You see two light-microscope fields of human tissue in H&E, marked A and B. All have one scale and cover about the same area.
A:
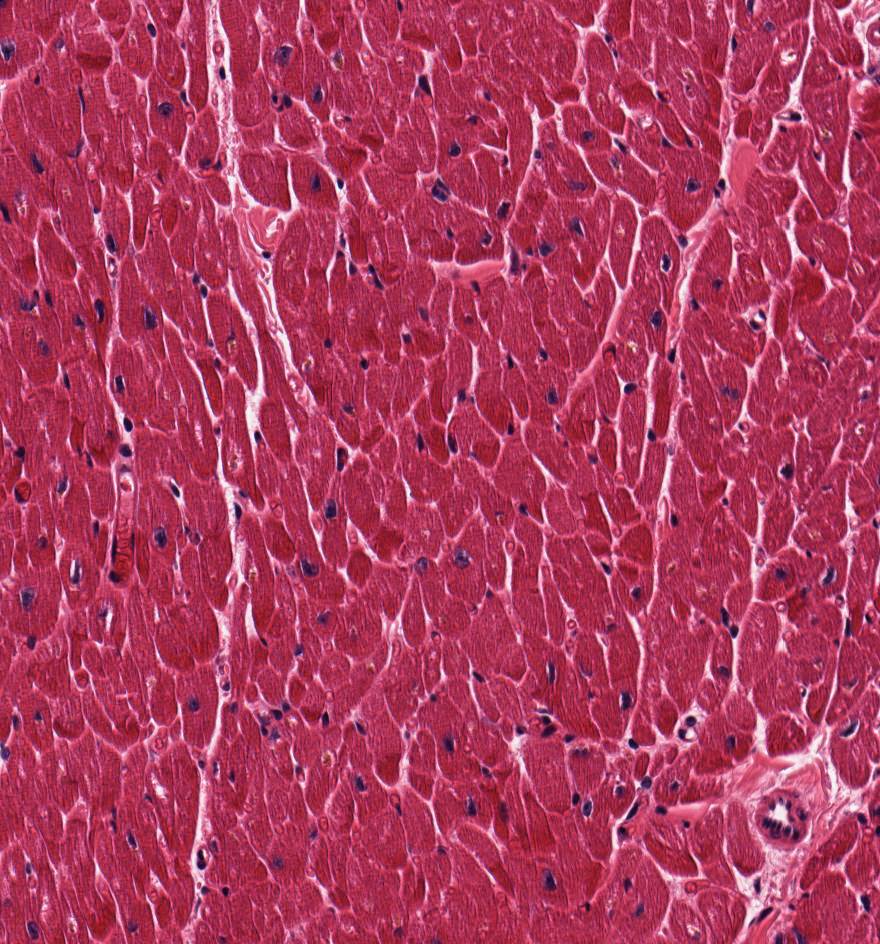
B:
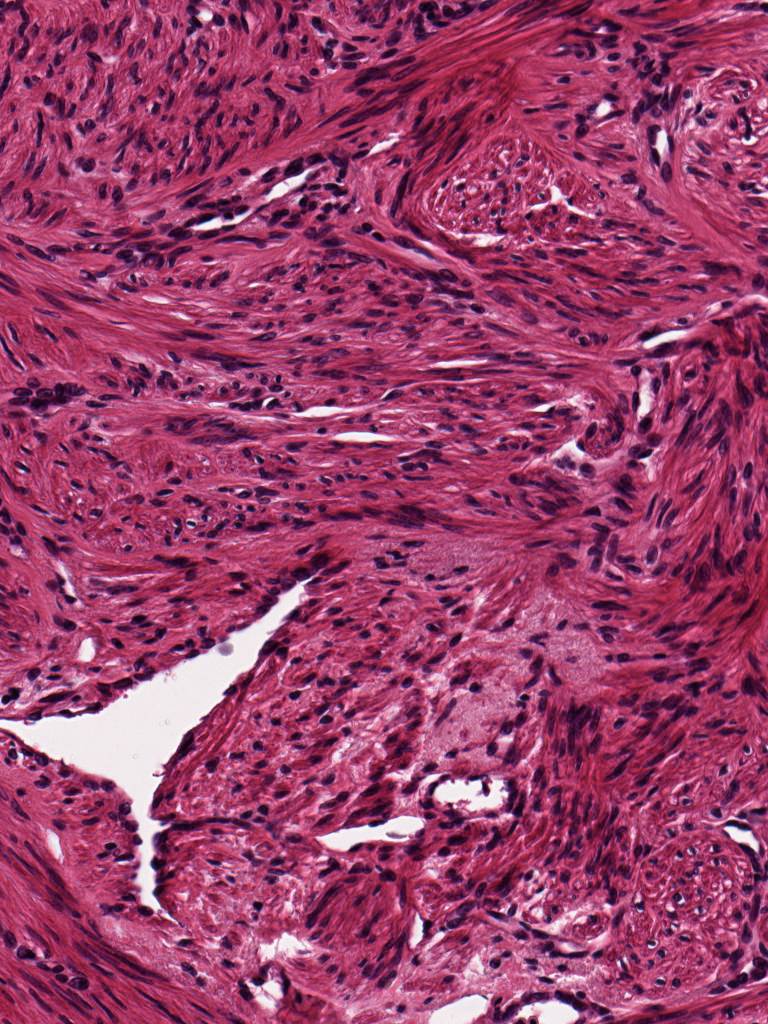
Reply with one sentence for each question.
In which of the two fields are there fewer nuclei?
There are fewer nuclei in field A.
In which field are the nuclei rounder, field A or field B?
On the whole the nuclei of field A are rounder than those of field B.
